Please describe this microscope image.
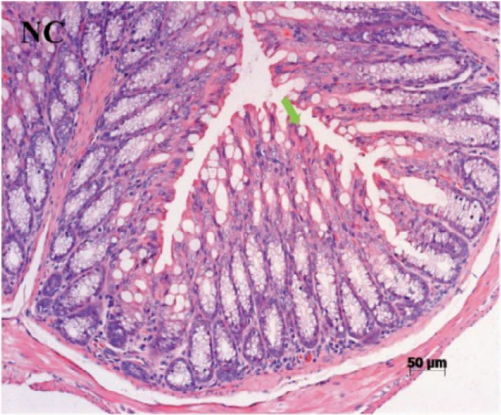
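This is a cross-section of colon wall with the mucosa folded into the lumen, made of closely packed straight tubular crypts. The crypts are lined by epithelium full of goblet cells, seen as round clear pale vacuoles, with small purple nuclei at their bases. Thin strips of lamina propria with scattered nuclei lie between the crypts, and the surface epithelium facing the lumen is continuous. A thin pink band of smooth muscle runs along the outer edge of the section.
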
